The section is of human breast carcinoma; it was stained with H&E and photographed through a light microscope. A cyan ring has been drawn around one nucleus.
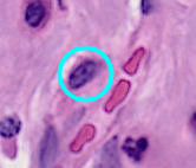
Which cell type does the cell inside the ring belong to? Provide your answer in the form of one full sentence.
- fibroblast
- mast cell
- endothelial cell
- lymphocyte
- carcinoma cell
Cytologically, the cell inside the ring is to be regarded as a mast cell.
